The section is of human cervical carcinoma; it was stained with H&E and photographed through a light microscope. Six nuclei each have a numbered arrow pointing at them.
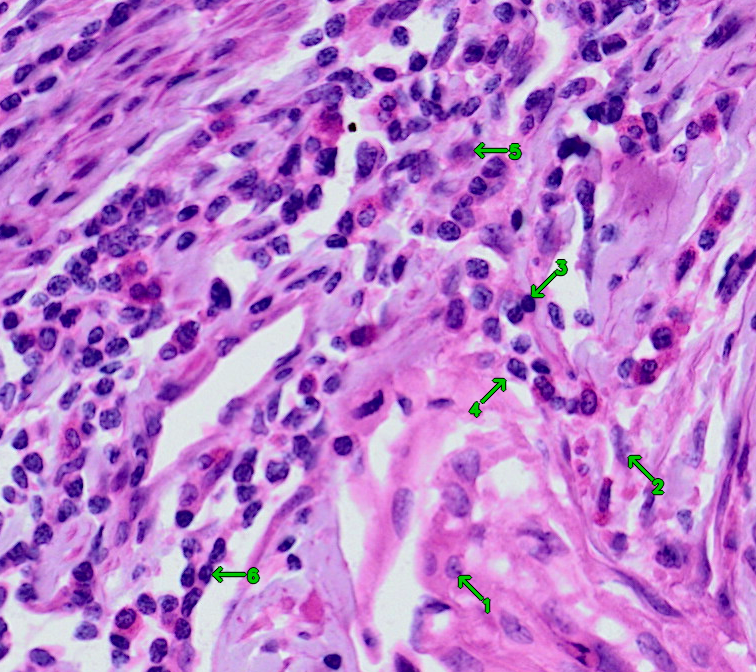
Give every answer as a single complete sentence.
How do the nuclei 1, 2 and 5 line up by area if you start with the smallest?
By area, going up from the smallest, they rank 5, 1, 2.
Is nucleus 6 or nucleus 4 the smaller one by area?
Nucleus 6 covers less area, with nucleus 4 about 1.5 times as large.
